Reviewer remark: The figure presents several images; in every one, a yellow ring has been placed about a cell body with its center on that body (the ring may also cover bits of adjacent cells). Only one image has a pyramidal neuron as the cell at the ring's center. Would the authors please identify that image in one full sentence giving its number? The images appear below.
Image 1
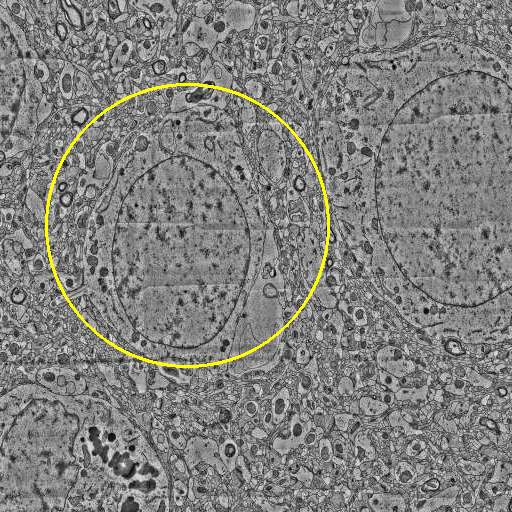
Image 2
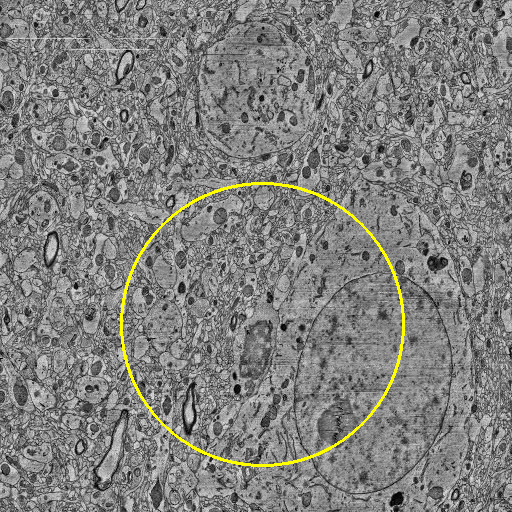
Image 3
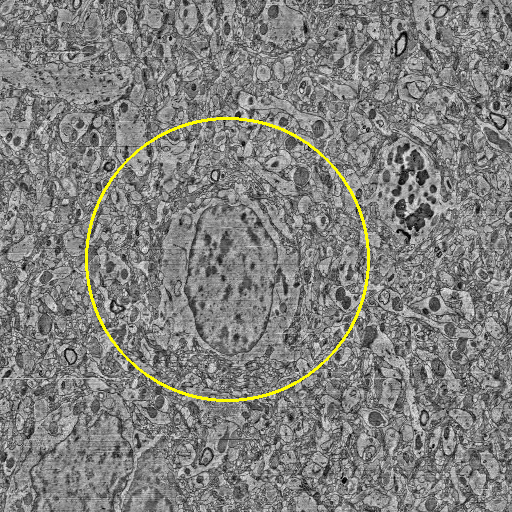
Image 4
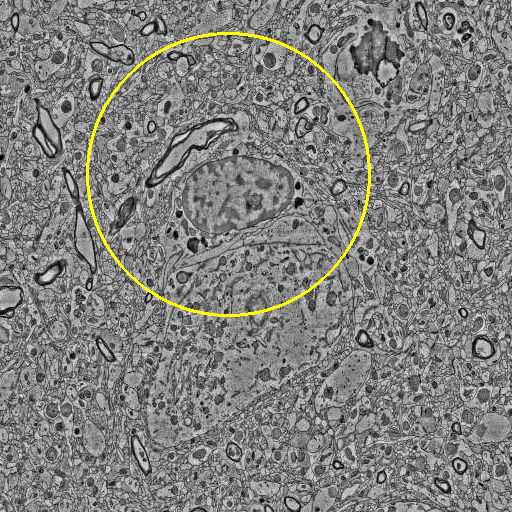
The ring's central cell in image 1 is the one the question describes.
